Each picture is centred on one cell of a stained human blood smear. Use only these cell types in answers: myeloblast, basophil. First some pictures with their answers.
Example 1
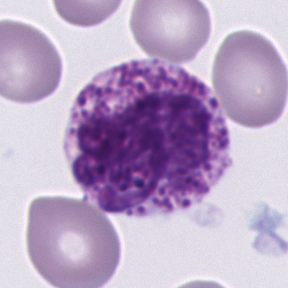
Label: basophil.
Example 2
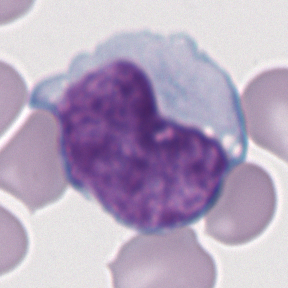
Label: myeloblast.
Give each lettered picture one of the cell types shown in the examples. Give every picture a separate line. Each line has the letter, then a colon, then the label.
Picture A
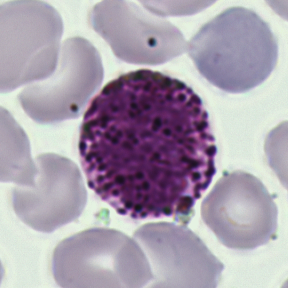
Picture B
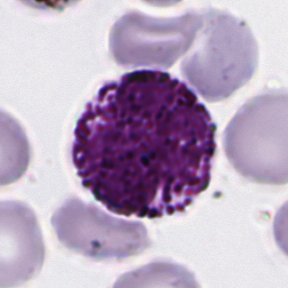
A: basophil.
B: basophil.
